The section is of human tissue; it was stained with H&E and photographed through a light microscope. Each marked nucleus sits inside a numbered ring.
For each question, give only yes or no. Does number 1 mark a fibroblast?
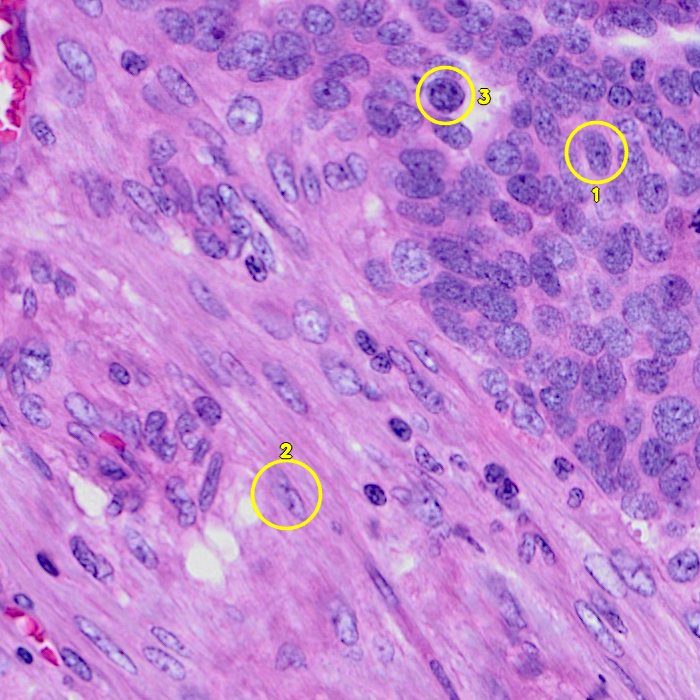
no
